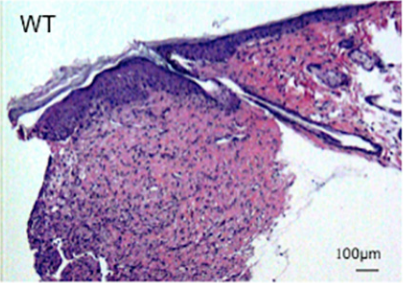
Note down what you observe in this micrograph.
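This section shows the border zone of a healing skin wound, where intact skin meets the wound bed. A purple-stained stratified epidermis covers the surface and ends in a thickened, rounded tip at the wound margin, over which a thin pale crust lifts away. Beneath it lies densely cellular tissue crowded with small dark nuclei set in pink matrix, typical of granulation tissue. To the side, the intact dermis holds a hair follicle shaft running obliquely toward the surface, with pinker, looser connective tissue around it.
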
